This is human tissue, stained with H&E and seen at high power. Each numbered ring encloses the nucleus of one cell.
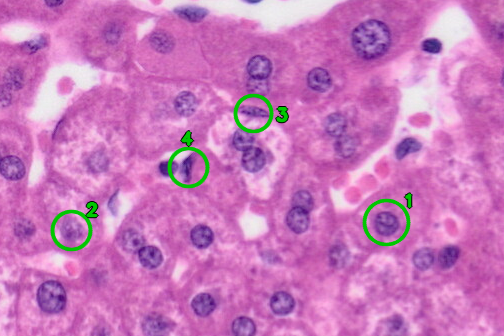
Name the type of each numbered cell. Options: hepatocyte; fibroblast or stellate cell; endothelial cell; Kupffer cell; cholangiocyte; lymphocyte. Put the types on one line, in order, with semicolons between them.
hepatocyte; hepatocyte; fibroblast or stellate cell; endothelial cell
